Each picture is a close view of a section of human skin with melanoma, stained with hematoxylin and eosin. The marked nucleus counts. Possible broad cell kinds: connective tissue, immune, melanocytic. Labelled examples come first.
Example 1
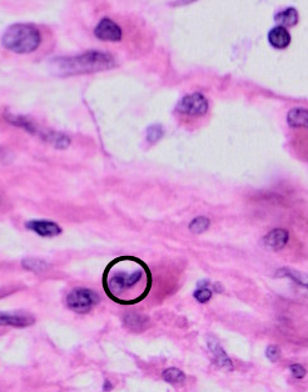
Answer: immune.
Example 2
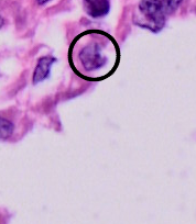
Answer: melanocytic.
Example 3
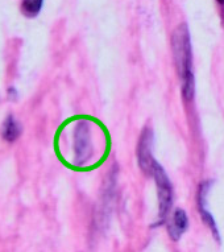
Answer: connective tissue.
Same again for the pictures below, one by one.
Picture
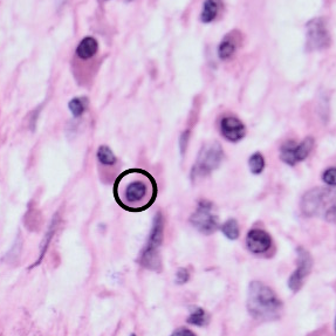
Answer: immune.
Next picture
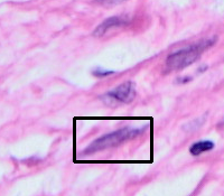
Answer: connective tissue.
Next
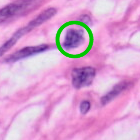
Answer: immune.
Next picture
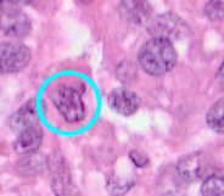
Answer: melanocytic.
